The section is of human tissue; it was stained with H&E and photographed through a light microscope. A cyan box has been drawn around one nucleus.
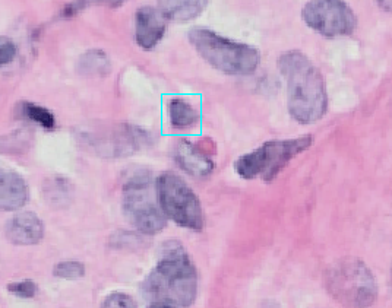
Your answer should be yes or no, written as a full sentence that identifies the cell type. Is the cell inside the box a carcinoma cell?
No, within this section, the cell inside the box is categorized as an endothelial cell rather than a carcinoma cell.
